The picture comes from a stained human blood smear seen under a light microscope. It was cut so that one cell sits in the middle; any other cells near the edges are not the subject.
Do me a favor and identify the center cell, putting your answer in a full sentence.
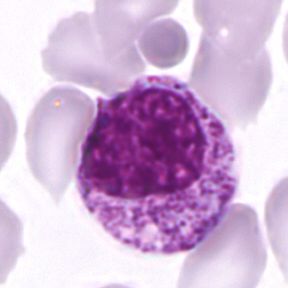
By type, the central cell of the crop is a myelocyte.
